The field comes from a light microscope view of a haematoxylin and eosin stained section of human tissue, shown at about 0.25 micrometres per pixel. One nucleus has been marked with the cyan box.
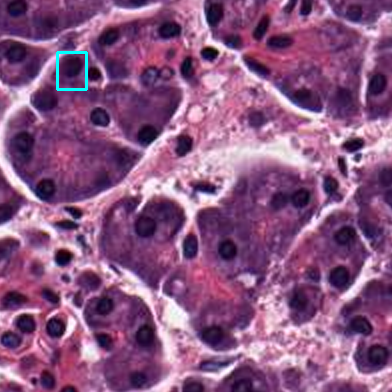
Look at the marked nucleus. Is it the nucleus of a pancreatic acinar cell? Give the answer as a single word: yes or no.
yes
